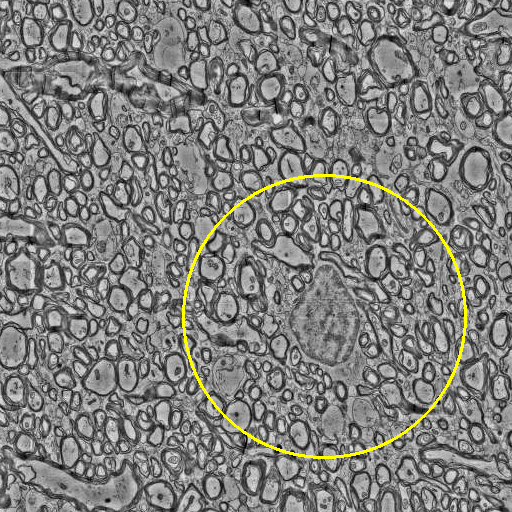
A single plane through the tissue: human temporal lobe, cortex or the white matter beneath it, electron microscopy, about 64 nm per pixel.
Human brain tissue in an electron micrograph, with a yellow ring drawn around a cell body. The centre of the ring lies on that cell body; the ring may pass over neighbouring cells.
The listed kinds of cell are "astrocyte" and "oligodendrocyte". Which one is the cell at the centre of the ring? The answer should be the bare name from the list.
oligodendrocyte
